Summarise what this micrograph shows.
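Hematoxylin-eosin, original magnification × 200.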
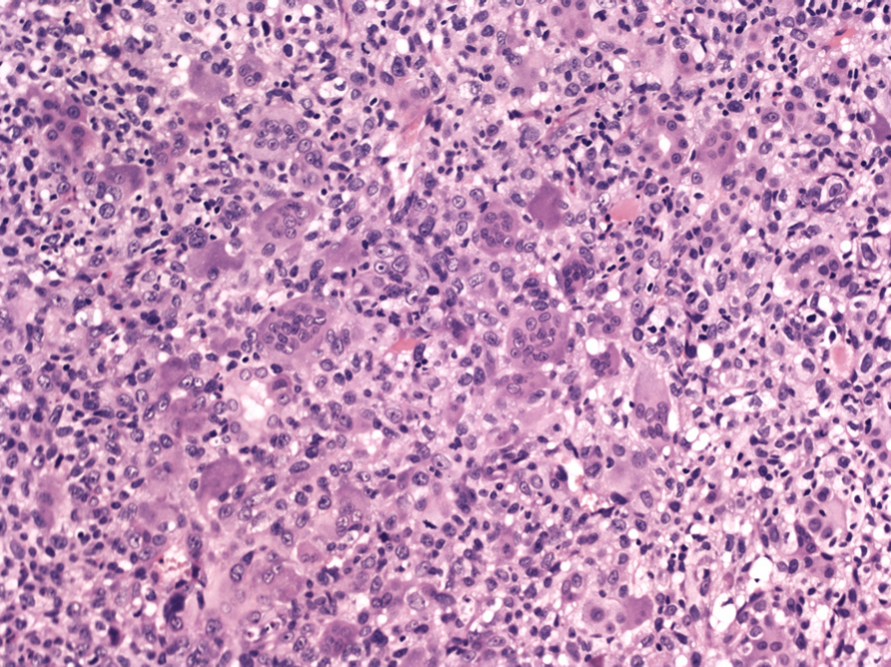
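Tumor tissue in which many large multinucleated giant cells resembling osteoclasts lie scattered among densely packed smaller mononuclear tumor cells. The giant cells have abundant pink cytoplasm and several round to oval nuclei with small nucleoli. The surrounding cells have oval to elongated dark nuclei and scant cytoplasm, with small clear vacuoles between them and no clear glandular or trabecular arrangement.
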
